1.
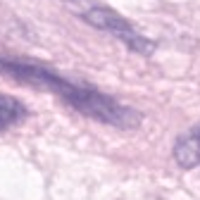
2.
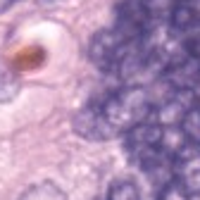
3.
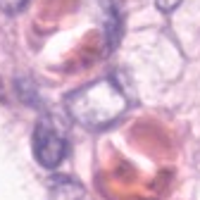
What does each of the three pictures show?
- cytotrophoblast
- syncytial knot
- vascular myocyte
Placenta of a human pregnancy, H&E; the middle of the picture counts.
Picture 1: vascular myocyte
Picture 2: syncytial knot
Picture 3: cytotrophoblast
